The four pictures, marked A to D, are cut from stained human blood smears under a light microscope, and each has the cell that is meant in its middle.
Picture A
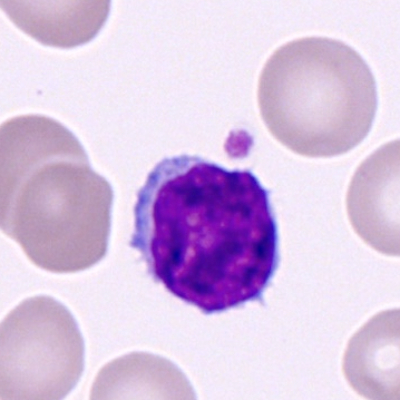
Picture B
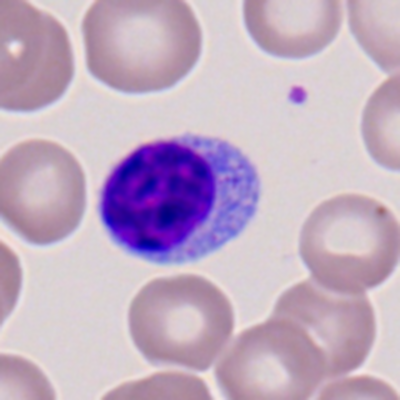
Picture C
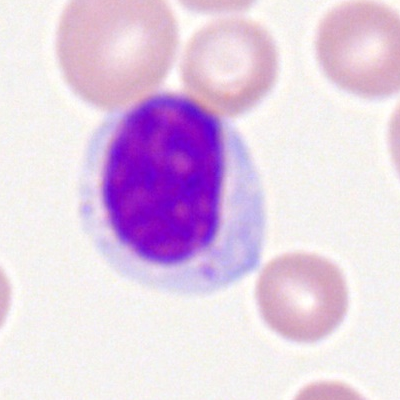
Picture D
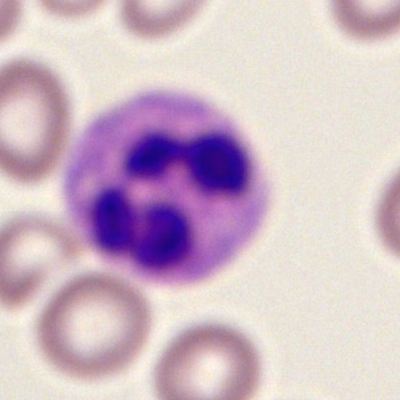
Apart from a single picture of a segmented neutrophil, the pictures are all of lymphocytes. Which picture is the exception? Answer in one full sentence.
It is picture D that shows the segmented neutrophil.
